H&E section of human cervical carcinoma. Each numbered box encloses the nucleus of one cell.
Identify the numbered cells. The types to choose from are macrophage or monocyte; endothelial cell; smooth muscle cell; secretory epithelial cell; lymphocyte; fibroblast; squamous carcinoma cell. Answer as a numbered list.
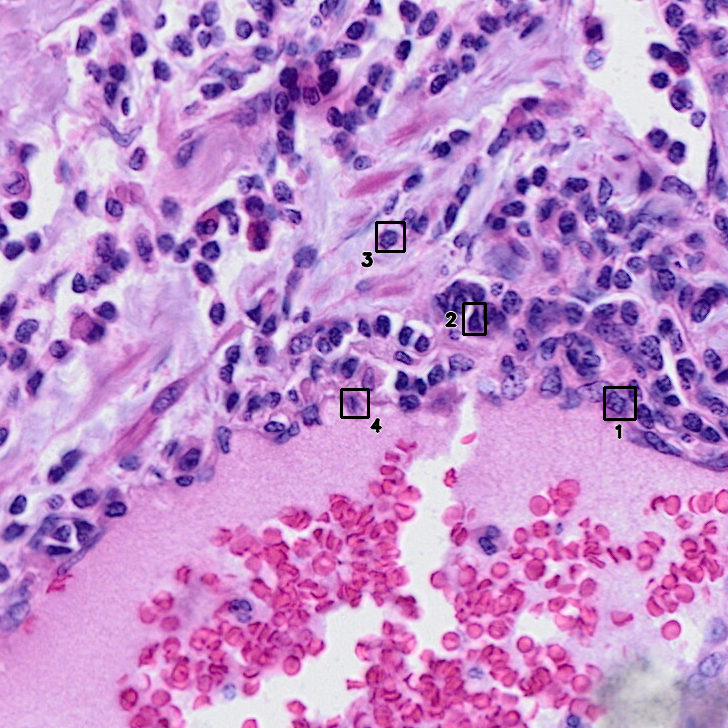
1. endothelial cell
2. lymphocyte
3. lymphocyte
4. endothelial cell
